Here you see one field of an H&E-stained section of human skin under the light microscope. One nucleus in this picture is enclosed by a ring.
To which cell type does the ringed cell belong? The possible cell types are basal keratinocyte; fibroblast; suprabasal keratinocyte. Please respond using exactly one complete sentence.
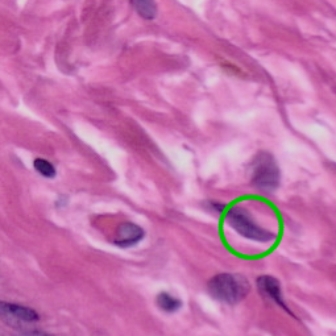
Microscopically, the ringed cell is categorized as a fibroblast.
